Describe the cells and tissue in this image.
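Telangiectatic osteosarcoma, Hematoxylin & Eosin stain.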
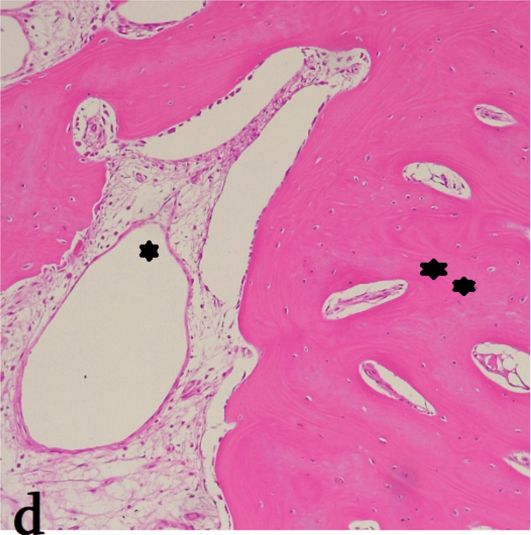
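Here broad masses of deeply pink, dense matrix take up most of the field, forming the osteogenic stroma of the tumour. Small cells sit in lacunae scattered through this matrix, and narrow elongated slits and spaces cut into it. On the left lie large, empty, irregular spaces, the distorted cysts, separated by thin septa of loose, pale, cellular connective tissue. The pink matrix wraps around these spaces, so that bone-like tissue and cystic cavities lie side by side.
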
